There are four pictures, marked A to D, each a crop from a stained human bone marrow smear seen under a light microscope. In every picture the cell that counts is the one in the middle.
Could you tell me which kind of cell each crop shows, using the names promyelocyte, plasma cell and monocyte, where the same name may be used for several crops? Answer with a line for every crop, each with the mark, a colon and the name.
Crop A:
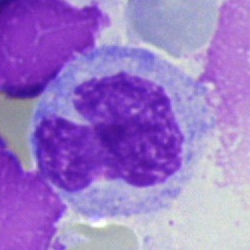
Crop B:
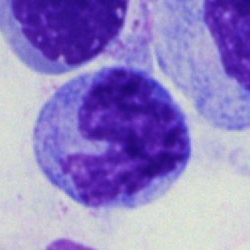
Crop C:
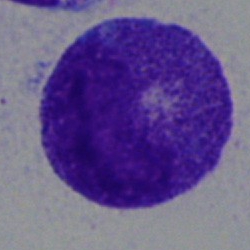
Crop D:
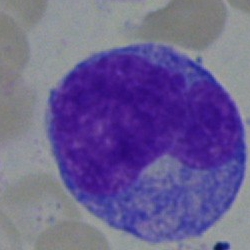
A: monocyte
B: monocyte
C: promyelocyte
D: promyelocyte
